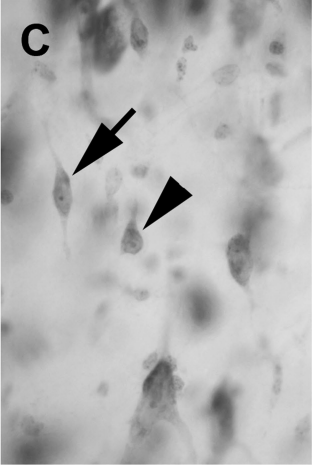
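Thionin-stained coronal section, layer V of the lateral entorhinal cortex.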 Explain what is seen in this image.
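One neuron has a small rounded cell body, while another nearby has an elongated, spindle-shaped body with thin processes leaving its opposite ends. Larger, darker cell bodies lie further down in the field, some out of focus. Many much smaller, oval, speckled nuclei of glial cells are strewn through the pale neuropil between the neurons.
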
